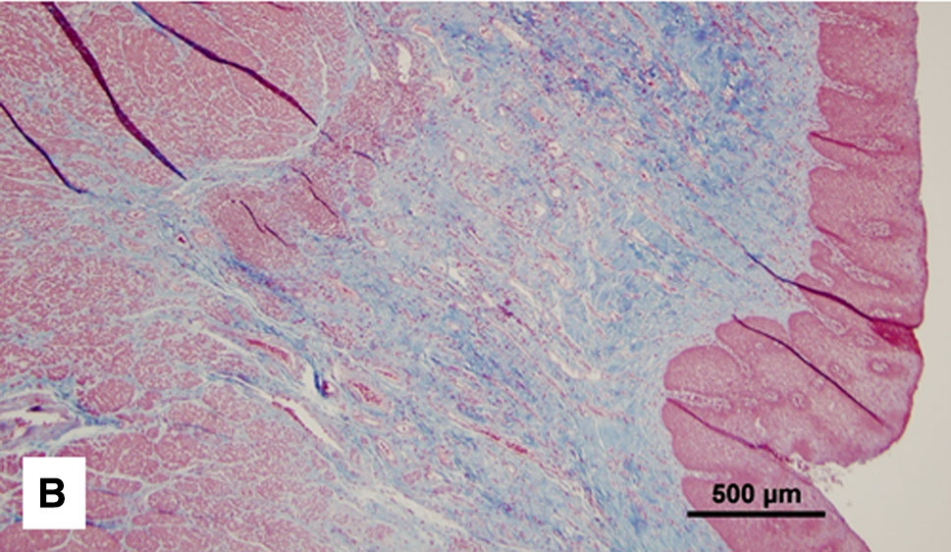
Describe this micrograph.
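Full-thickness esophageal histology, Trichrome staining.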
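On the right, the stratified squamous epithelium stains red-pink and forms lobulated papillary folds. Toward the left, red-pink muscle bundles are cut in cross and oblique section. Blue fibrous strands extend between and around these bundles. A few dark linear folds cross the section, which are artefacts.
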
